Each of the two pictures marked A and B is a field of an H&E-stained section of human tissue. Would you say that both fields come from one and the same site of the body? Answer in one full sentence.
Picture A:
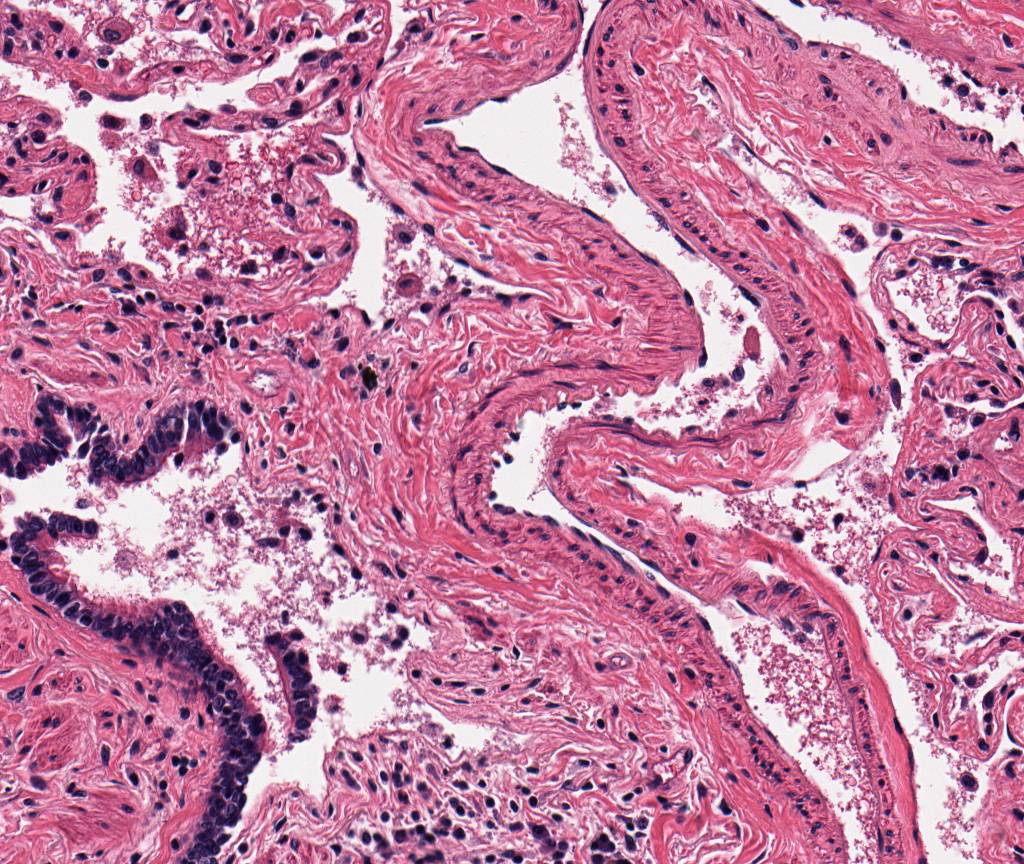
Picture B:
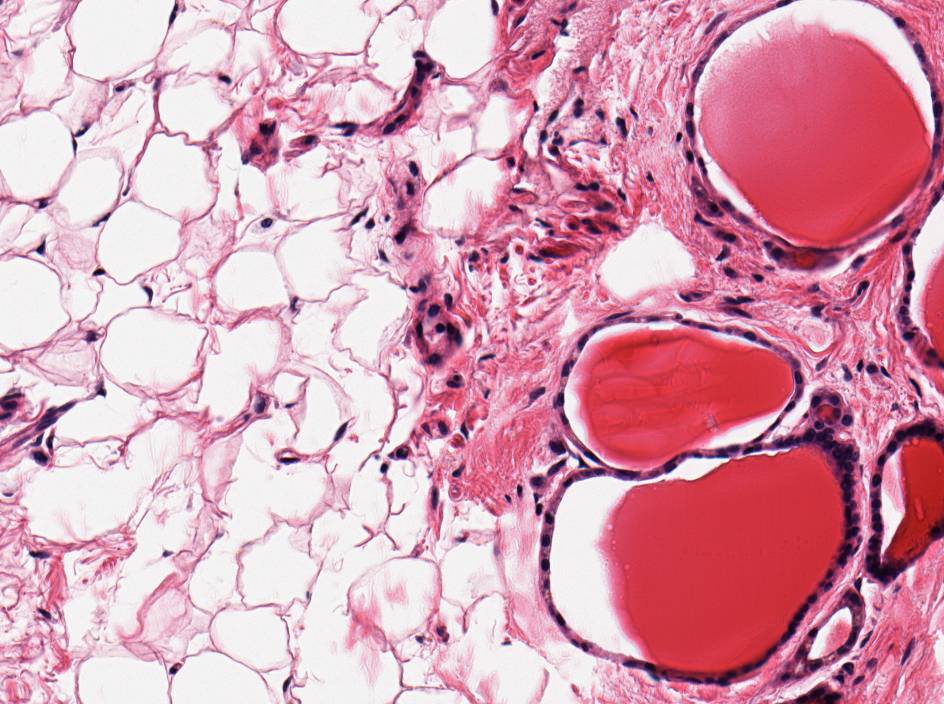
No: picture A comes from the lung, but picture B comes from the thyroid.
